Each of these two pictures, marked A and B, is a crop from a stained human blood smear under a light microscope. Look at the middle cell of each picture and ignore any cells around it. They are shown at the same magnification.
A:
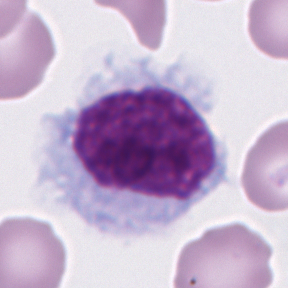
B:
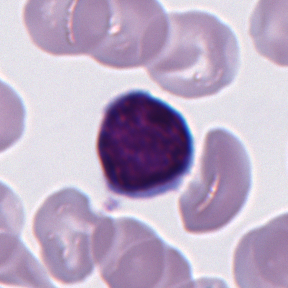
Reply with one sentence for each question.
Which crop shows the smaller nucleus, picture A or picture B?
Smaller is the nucleus in picture B, and the other is about 1.5 times as large in area.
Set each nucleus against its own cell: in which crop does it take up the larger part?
In picture B the nucleus takes up the larger part of its cell.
